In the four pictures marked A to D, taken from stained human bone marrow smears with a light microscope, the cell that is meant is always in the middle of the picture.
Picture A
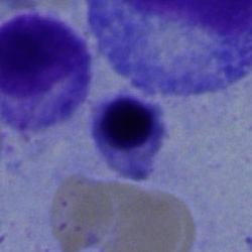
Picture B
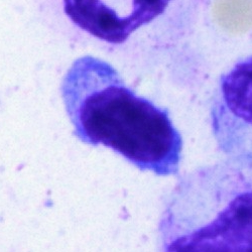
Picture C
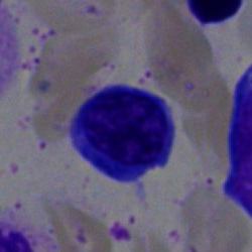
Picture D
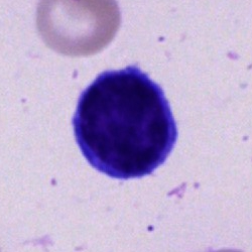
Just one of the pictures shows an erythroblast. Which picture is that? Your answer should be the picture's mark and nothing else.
A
